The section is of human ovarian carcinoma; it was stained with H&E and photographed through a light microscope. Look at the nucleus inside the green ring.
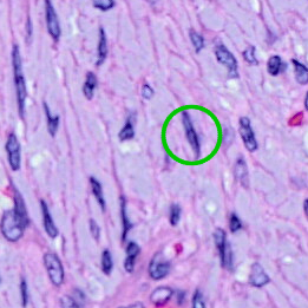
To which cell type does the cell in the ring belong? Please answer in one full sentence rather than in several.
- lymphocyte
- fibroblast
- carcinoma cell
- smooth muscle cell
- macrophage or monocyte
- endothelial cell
In this tissue section, the cell in the ring is to be classed as a fibroblast.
